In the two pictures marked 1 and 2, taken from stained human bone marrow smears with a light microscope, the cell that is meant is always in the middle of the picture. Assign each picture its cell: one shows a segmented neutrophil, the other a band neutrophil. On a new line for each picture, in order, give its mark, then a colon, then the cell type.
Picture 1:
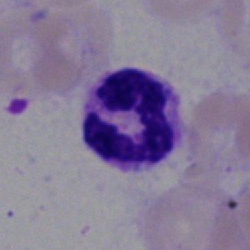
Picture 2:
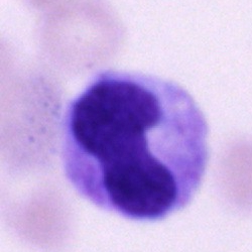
1: segmented neutrophil
2: band neutrophil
